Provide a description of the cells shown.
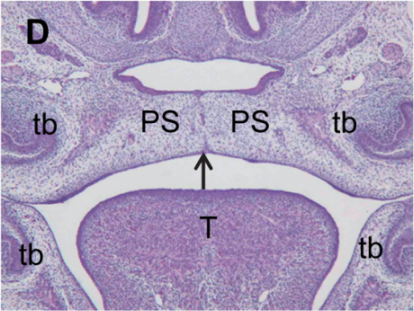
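Section through the secondary palate with the two palatal shelves meeting at the midline between the nasal cavity above and the tongue below. Tooth buds lie laterally on each side.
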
